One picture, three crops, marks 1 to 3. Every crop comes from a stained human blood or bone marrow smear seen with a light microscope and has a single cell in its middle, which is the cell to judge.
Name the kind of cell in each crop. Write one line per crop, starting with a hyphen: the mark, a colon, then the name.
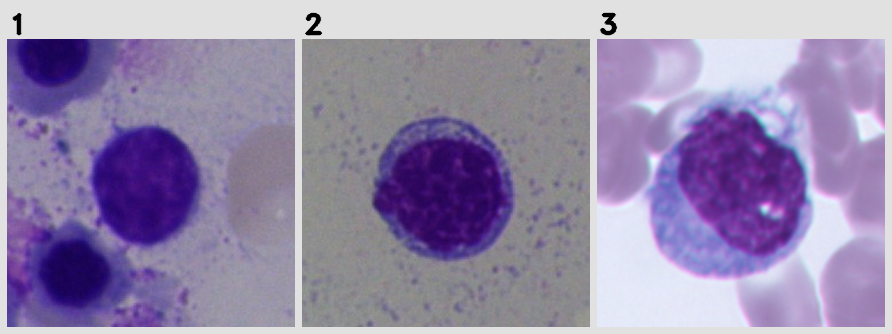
- 1: lymphocyte
- 2: lymphocyte
- 3: monocyte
